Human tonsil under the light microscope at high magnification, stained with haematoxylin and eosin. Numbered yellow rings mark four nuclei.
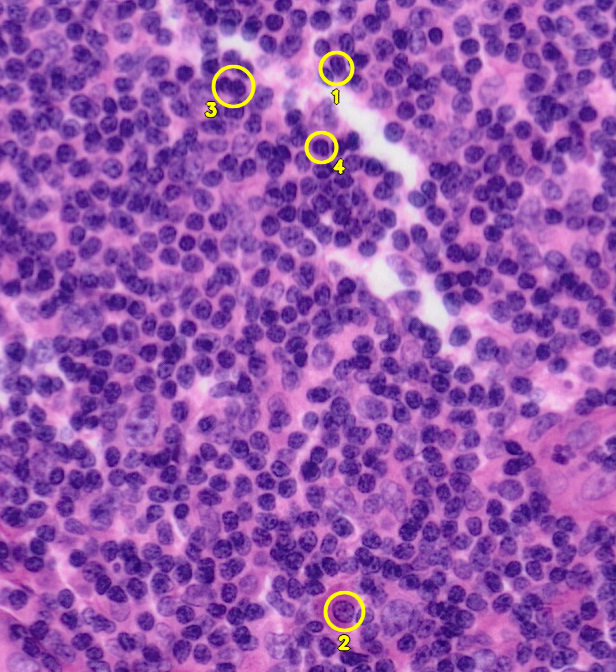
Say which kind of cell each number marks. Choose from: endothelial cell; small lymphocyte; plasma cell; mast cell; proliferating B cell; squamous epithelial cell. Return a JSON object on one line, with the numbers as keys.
{"1": "small lymphocyte", "2": "plasma cell", "3": "small lymphocyte", "4": "small lymphocyte"}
